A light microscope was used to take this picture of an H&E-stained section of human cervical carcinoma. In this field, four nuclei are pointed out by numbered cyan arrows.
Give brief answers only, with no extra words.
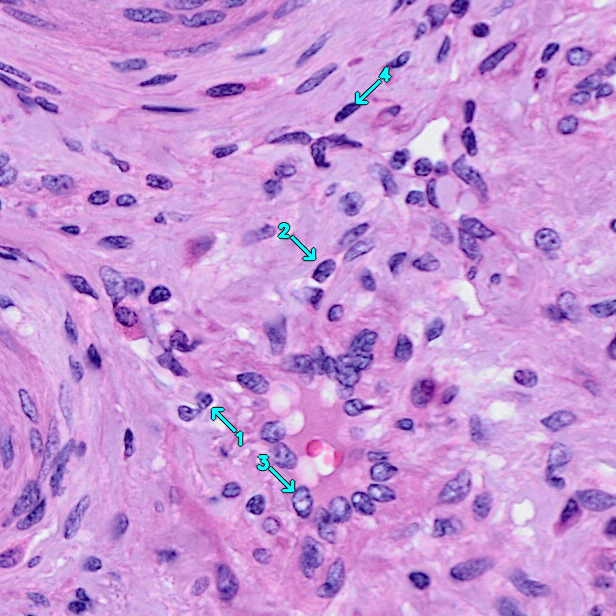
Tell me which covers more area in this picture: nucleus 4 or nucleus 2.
2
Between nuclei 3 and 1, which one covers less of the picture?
1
